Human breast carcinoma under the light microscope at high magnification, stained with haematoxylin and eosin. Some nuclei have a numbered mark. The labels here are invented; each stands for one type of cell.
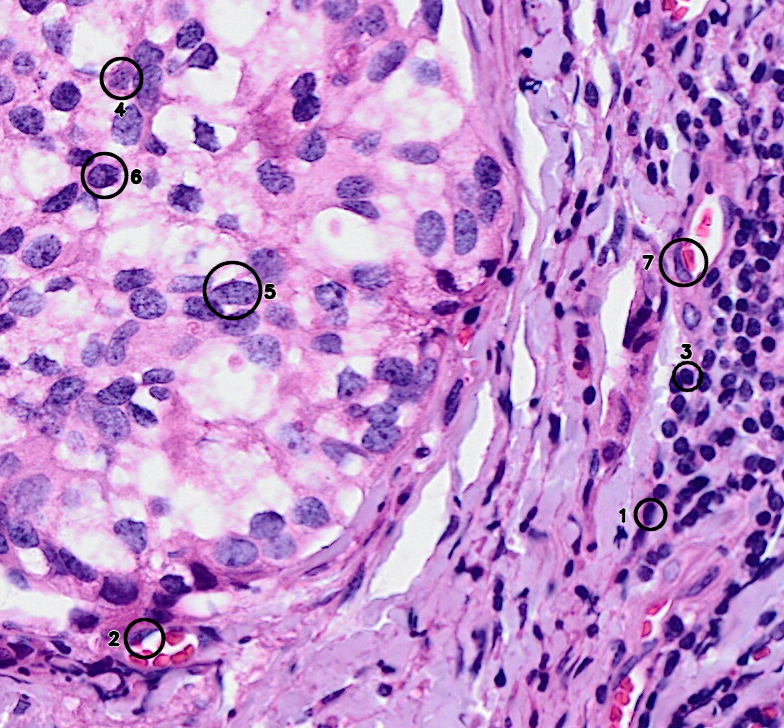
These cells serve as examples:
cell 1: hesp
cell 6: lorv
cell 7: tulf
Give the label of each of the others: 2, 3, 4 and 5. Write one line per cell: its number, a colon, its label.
2: tulf
3: hesp
4: lorv
5: lorv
